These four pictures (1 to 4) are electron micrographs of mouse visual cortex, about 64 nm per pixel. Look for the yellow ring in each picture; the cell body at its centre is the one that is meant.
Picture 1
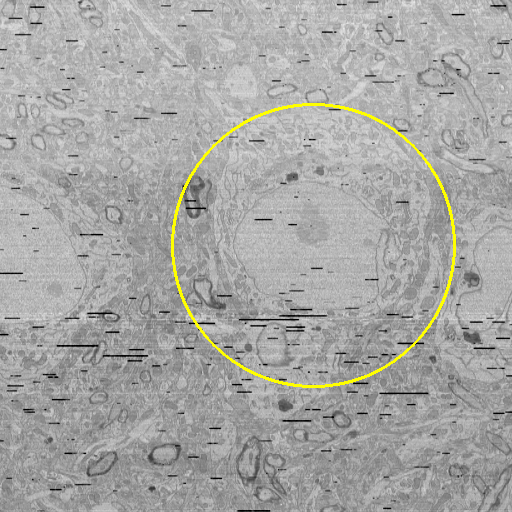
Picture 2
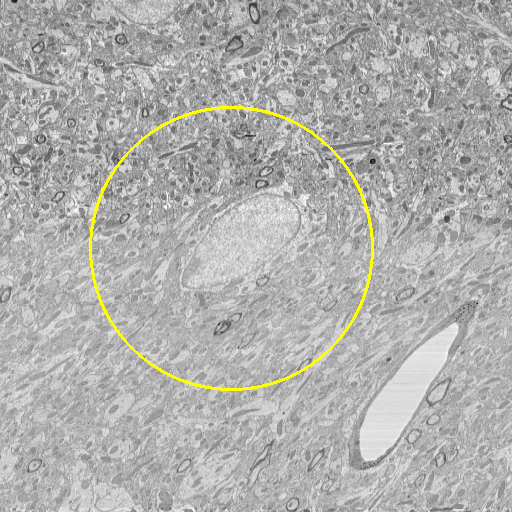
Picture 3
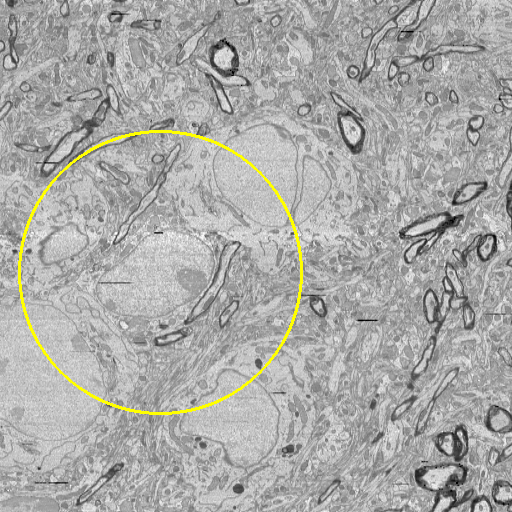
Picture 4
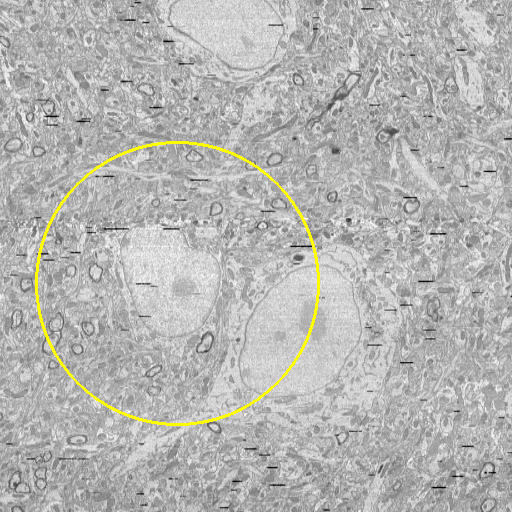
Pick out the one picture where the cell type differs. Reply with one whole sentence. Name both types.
Unlike the rest, which show astrocytes, picture 1 shows an inhibitory neuron.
